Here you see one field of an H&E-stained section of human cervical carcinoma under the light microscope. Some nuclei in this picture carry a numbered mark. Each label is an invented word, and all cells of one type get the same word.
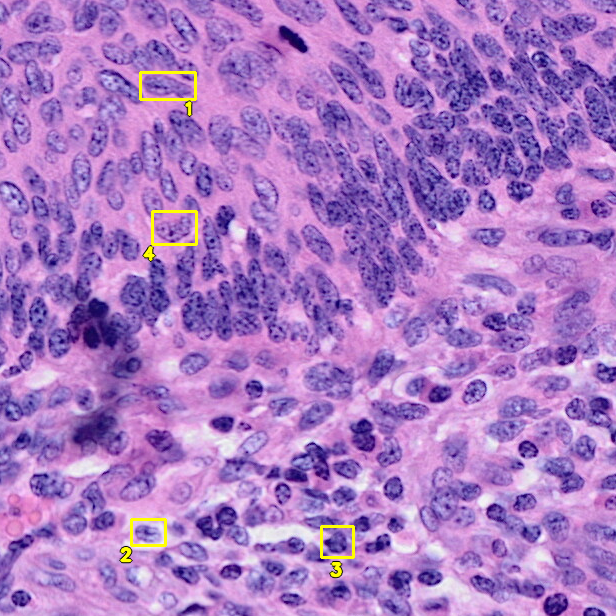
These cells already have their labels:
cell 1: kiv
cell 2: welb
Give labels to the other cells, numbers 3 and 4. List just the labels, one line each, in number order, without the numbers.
welb
kiv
